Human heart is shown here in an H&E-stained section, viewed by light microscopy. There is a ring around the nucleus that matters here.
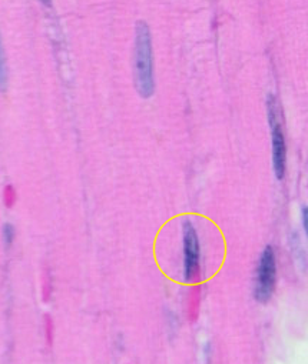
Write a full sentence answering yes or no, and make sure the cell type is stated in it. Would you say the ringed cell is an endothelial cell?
Yes, the claim that the ringed cell is an endothelial cell holds true.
